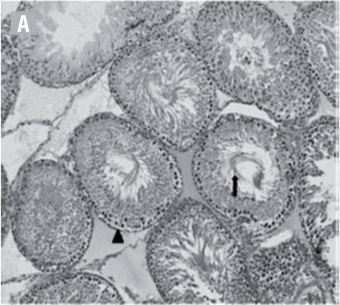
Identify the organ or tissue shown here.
Seminiferous tubule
